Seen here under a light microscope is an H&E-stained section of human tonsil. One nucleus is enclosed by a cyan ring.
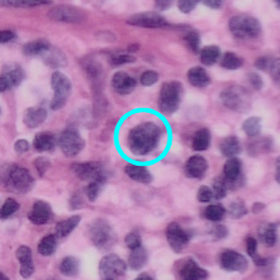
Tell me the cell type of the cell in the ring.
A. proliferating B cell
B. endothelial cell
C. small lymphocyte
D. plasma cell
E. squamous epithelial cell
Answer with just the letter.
A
